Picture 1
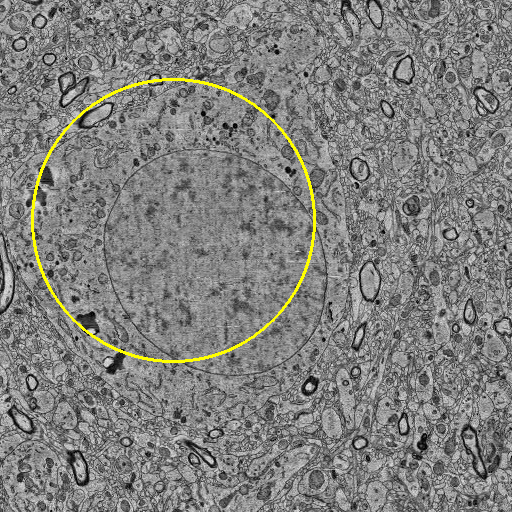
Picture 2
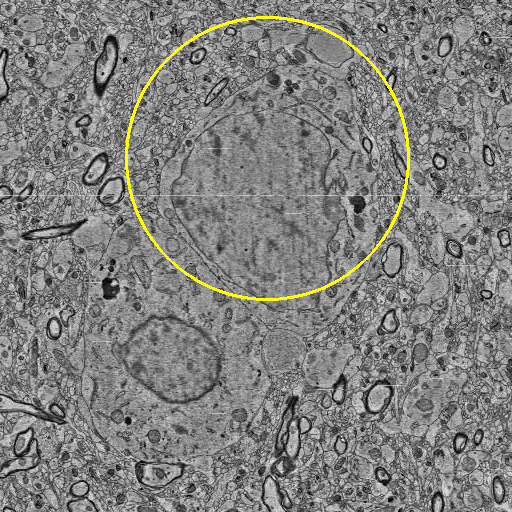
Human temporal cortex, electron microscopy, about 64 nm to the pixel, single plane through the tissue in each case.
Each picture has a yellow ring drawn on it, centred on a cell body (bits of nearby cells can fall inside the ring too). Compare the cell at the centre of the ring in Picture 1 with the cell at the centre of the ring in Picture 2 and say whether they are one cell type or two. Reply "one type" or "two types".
two types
